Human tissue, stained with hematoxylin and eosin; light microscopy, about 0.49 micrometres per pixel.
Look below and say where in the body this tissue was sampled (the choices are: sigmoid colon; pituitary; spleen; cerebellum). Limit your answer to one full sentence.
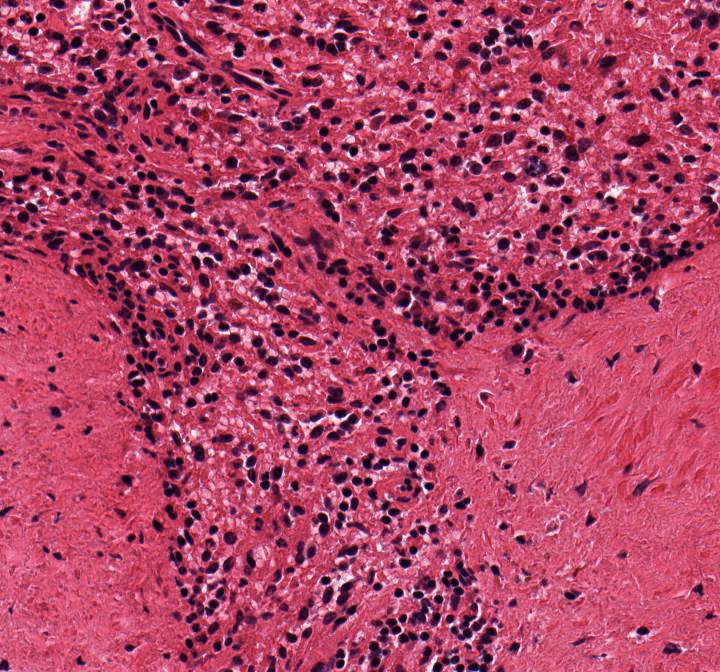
Obtained from the spleen, the tissue was sectioned for this slide.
